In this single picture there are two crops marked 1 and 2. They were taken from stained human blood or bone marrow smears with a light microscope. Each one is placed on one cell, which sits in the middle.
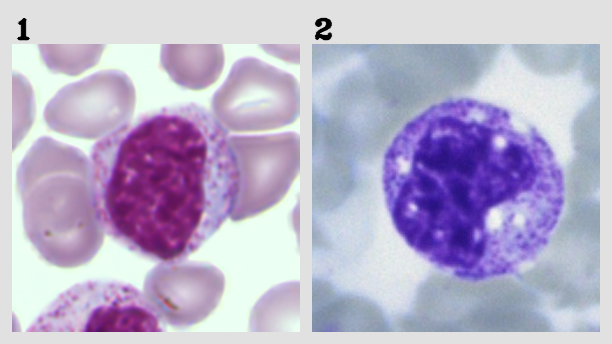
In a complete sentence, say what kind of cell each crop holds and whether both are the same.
Yes, as for both crops, the cells shown are metamyelocytes.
